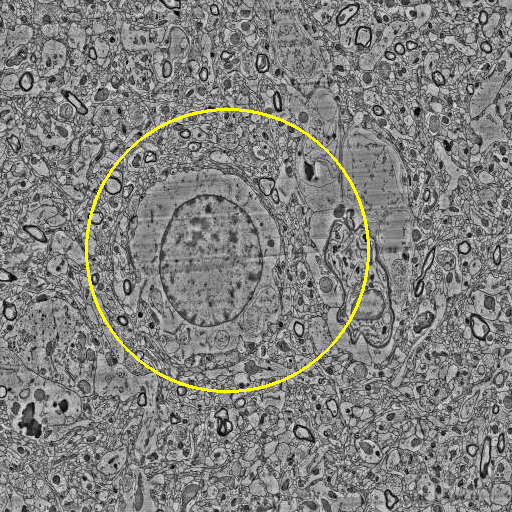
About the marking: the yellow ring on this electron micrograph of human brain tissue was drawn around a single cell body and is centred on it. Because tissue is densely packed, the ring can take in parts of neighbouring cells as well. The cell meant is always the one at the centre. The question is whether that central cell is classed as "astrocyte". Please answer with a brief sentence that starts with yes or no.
Yes, the central cell is classed that way.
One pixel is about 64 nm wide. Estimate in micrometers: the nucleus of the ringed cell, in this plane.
The nucleus comes to roughly 8 by 7 micrometres in this plane.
